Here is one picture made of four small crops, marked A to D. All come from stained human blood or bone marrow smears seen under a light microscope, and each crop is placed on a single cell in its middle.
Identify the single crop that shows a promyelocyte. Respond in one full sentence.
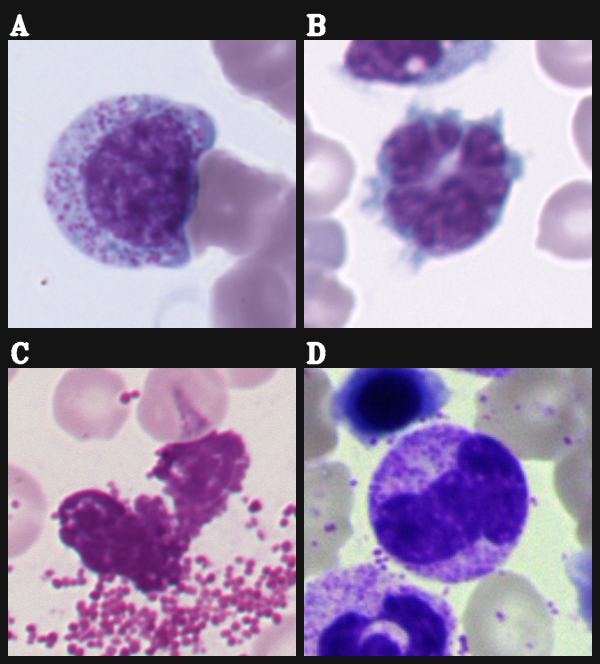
The one crop that shows a promyelocyte is crop A.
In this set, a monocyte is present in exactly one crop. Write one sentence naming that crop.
On review of the set, crop B is the one showing a monocyte.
